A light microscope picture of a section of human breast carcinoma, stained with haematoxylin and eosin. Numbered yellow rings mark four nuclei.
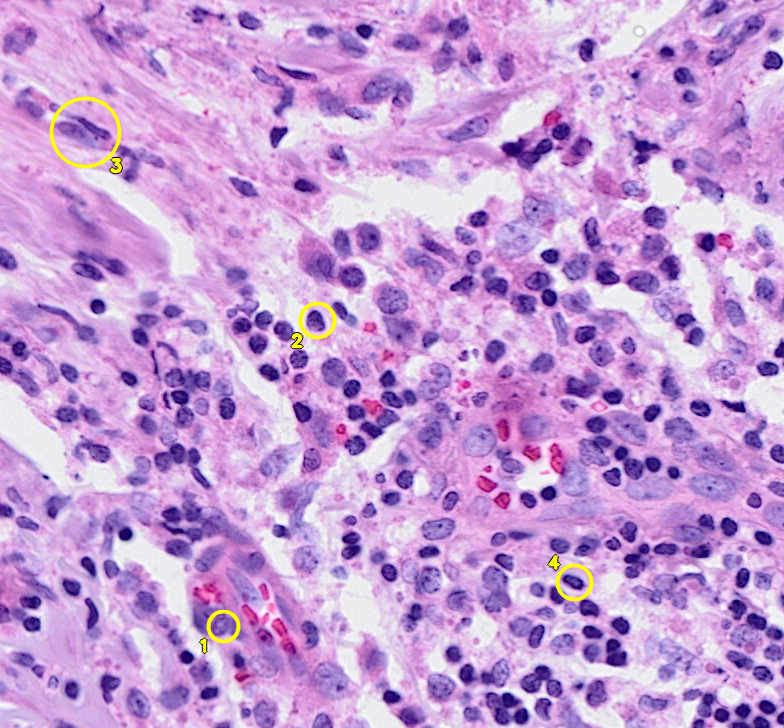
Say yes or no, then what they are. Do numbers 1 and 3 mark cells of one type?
No, cell 1 is an endothelial cell and cell 3 is a fibroblast.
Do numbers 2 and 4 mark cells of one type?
Yes, both are lymphocytes.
